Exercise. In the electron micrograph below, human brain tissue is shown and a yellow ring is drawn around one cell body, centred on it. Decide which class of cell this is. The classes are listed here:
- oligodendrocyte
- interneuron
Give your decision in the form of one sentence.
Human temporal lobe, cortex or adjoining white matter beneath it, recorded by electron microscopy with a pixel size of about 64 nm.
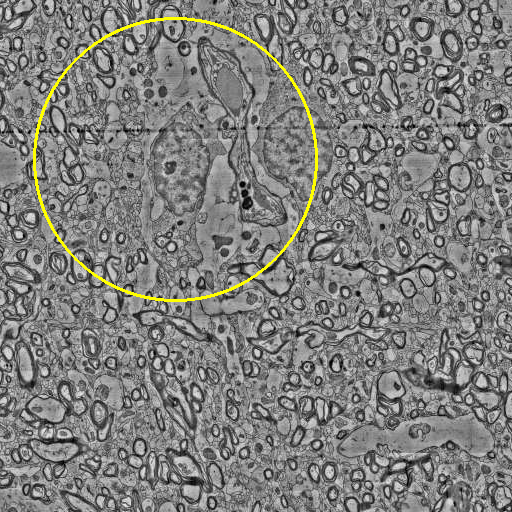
The cell body marked by the ring belongs to an oligodendrocyte.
